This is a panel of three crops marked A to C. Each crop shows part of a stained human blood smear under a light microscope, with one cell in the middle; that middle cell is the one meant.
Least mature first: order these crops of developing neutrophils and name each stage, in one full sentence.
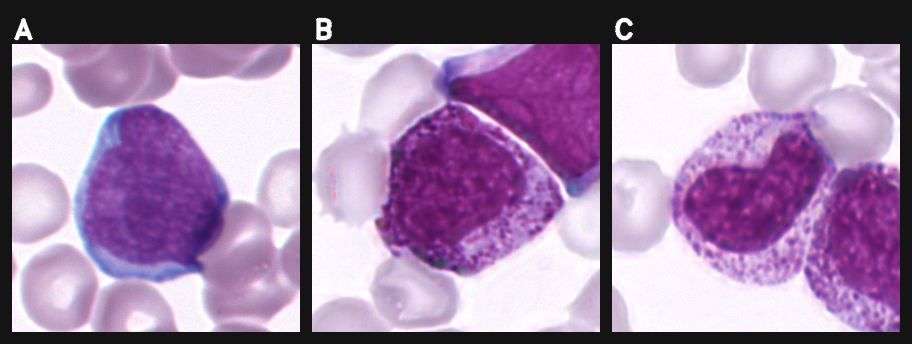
Starting from the least mature, the sequence proceeds crop A (a blast), crop B (a myelocyte) and crop C (a band neutrophil).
